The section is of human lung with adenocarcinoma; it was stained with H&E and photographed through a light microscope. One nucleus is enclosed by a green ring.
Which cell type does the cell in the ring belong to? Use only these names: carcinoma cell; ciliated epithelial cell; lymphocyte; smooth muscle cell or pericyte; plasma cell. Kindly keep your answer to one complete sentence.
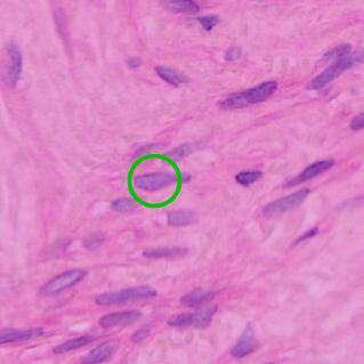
On this particular slide, the cell in the ring is a smooth muscle cell or pericyte.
